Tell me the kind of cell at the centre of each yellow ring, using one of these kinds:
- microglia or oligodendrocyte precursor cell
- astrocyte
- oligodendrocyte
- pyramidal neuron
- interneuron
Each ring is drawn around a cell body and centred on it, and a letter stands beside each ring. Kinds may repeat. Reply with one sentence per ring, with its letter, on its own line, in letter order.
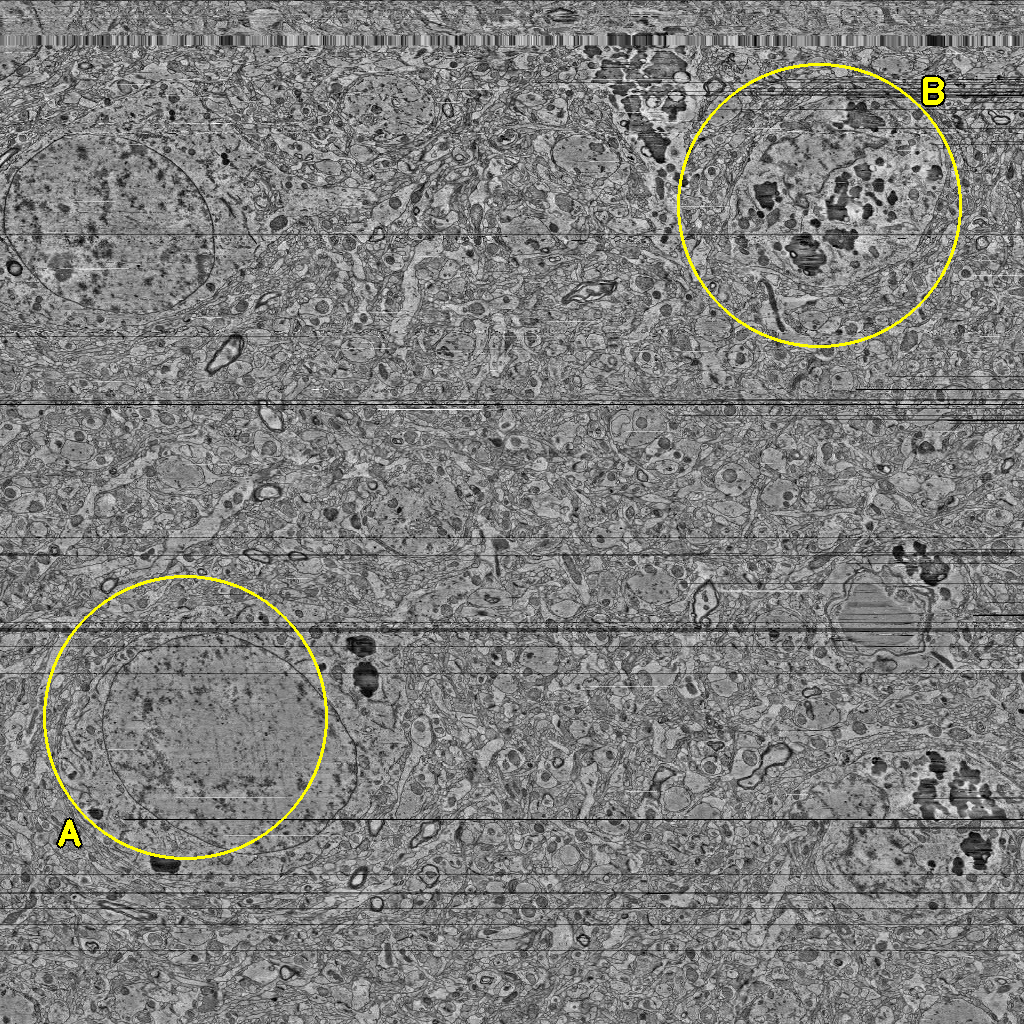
The ring labelled A is centred on a pyramidal neuron.
The ring labelled B is centred on an interneuron.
